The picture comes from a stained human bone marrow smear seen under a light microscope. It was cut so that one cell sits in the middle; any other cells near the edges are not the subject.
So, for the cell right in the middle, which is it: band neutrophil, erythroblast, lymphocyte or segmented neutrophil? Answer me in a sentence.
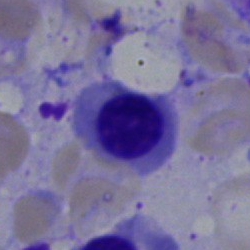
The central cell in this smear crop is an erythroblast.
